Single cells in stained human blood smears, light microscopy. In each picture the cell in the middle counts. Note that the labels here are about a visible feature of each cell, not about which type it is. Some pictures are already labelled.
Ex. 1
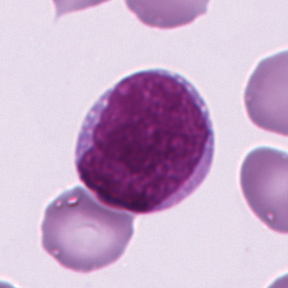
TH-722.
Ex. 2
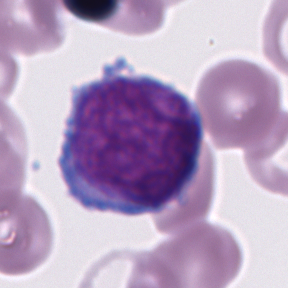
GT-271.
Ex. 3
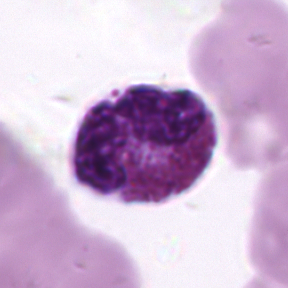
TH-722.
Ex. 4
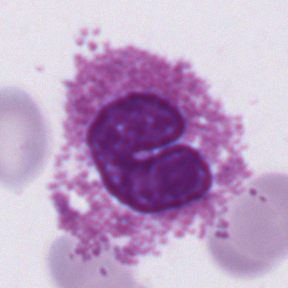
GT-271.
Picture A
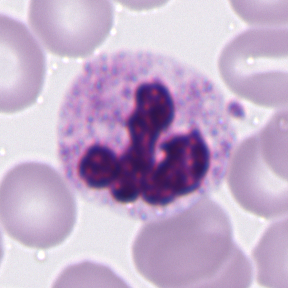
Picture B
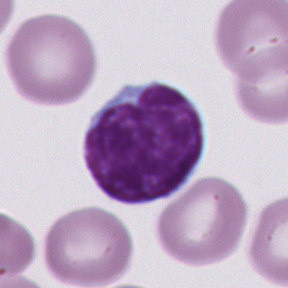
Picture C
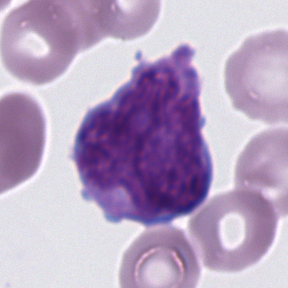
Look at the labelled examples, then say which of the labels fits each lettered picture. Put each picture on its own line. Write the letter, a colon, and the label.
A: TH-722.
B: TH-722.
C: GT-271.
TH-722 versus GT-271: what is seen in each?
In TH-722: smooth outline. In GT-271: ragged outline or projections.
